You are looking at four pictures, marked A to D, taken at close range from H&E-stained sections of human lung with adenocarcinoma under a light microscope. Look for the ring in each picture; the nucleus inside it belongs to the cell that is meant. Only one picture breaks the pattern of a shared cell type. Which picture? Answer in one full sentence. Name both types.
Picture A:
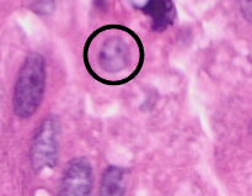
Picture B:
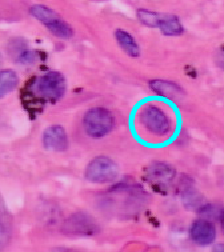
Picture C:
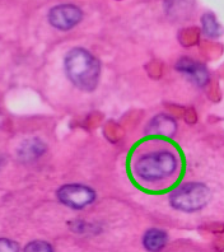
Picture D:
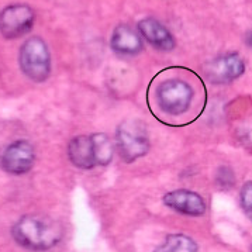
Unlike the rest, which show “macrophages or monocytes”, picture B shows a mast cell.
